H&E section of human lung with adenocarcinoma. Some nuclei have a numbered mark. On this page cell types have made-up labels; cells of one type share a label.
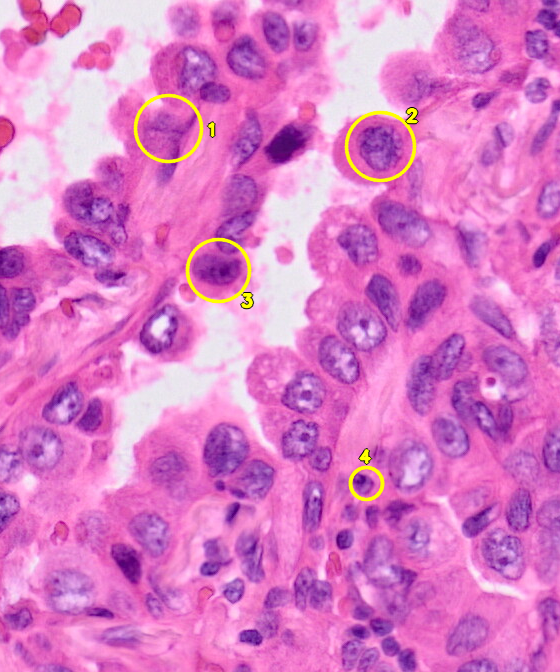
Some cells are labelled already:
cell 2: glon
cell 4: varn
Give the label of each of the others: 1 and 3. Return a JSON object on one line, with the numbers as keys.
{"1": "glon", "3": "glon"}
